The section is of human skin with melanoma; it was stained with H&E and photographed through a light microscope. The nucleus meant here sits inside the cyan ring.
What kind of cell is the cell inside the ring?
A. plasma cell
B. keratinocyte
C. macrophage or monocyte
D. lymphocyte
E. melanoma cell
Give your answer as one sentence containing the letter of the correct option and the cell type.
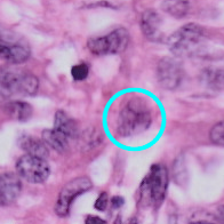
Under option E, the cell inside the ring is a melanoma cell, which is the correct identification.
